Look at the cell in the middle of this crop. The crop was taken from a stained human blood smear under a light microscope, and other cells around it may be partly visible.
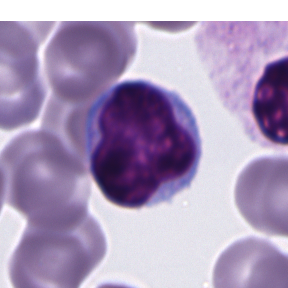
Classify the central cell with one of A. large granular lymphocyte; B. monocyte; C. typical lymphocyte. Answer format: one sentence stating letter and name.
Option C is the right one, for the cell in the middle is a typical lymphocyte.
